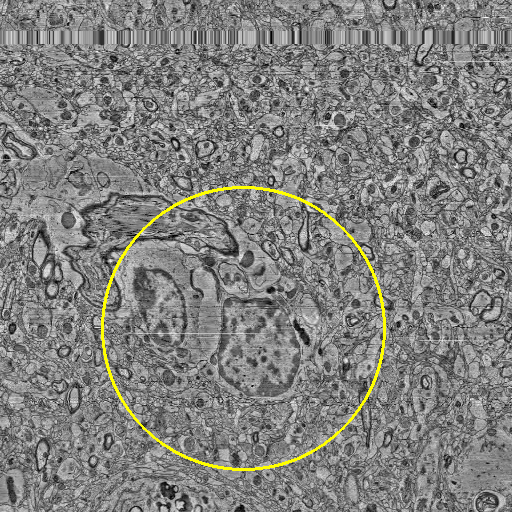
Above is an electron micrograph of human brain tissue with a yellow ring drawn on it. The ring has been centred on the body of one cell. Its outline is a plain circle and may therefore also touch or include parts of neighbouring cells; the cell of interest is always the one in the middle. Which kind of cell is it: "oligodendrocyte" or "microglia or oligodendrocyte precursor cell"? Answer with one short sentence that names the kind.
The ring's central cell body is that of a microglial cell or oligodendrocyte precursor cell.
